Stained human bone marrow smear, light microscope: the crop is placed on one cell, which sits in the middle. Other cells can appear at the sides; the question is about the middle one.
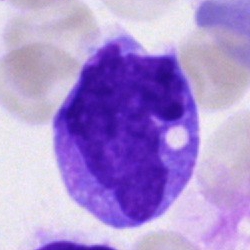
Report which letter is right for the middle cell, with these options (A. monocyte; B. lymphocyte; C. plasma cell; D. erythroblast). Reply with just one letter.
A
